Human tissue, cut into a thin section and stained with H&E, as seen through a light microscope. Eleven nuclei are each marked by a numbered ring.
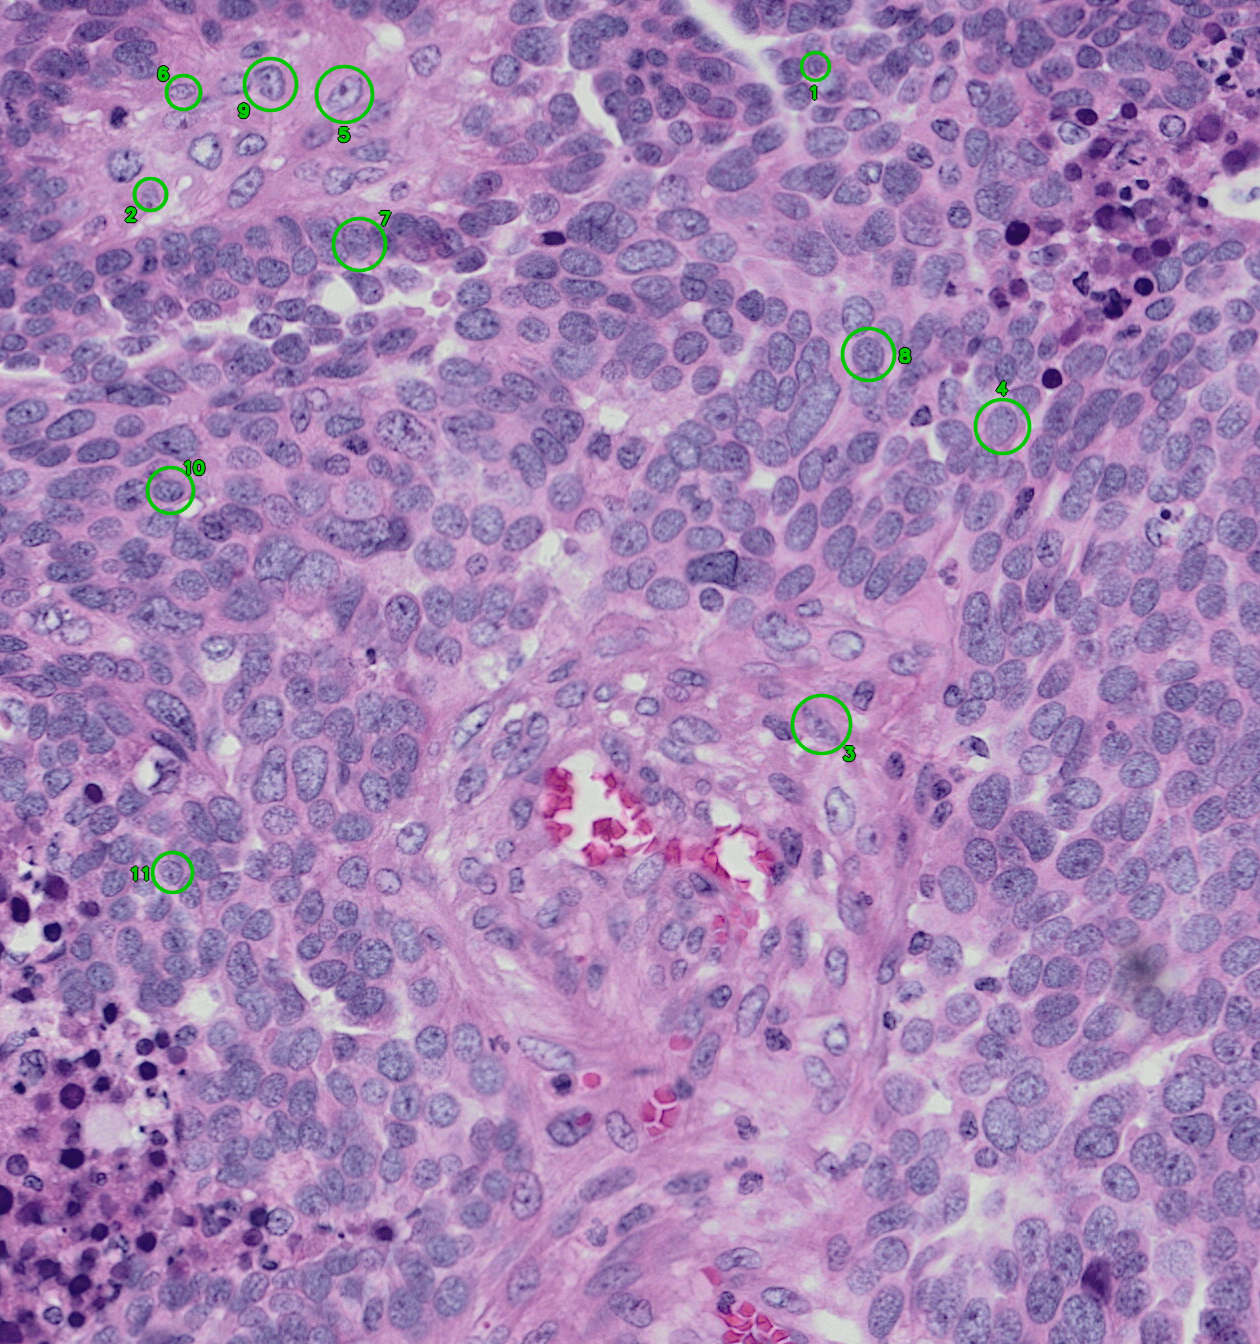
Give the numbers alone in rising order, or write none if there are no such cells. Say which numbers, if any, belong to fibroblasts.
2, 3, 5, 6, 9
